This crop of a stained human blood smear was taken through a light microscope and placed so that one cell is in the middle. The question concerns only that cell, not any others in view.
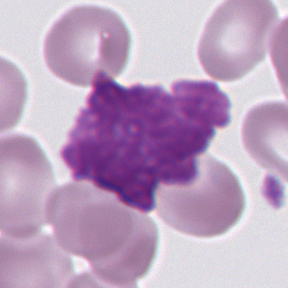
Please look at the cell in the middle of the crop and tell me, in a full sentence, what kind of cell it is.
The cell centred in this crop is categorized as a smudge cell.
